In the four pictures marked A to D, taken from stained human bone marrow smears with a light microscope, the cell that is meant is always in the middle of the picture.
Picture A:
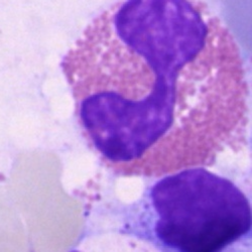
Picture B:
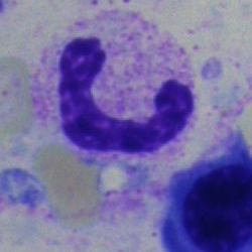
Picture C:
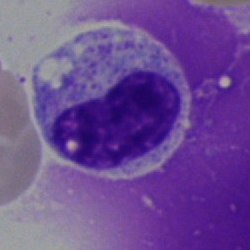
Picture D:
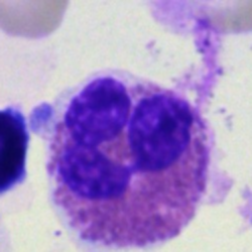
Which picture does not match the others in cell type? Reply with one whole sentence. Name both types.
All pictures except B show eosinophils; picture B shows a segmented neutrophil.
